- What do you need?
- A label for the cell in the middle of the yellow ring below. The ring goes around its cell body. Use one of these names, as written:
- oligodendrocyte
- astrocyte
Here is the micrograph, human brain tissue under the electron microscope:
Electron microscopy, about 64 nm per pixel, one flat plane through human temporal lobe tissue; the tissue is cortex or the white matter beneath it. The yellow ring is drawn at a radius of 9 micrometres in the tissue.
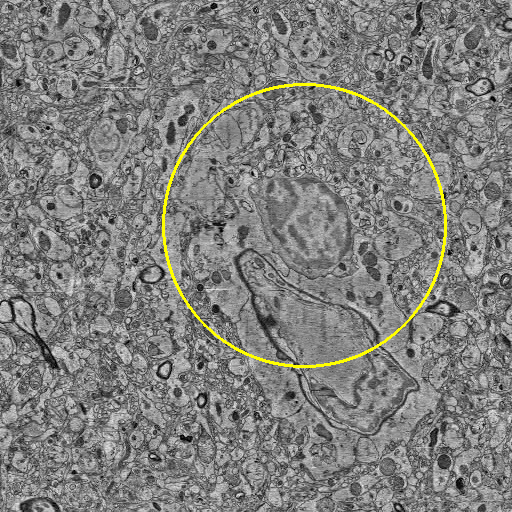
oligodendrocyte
